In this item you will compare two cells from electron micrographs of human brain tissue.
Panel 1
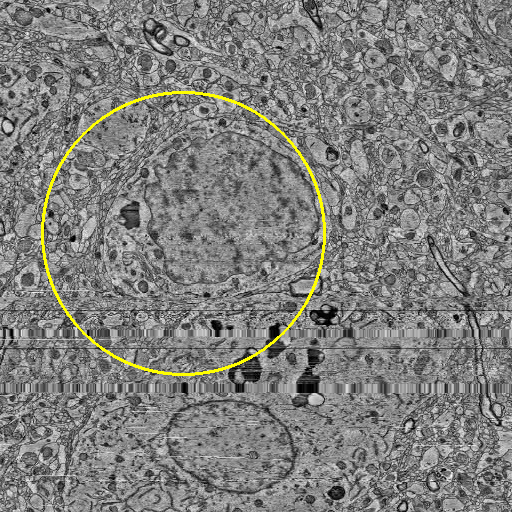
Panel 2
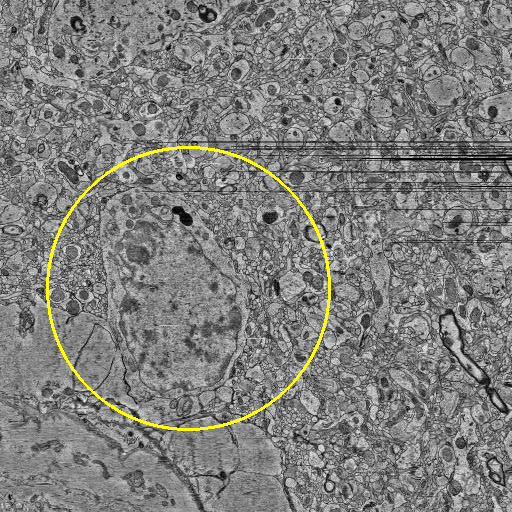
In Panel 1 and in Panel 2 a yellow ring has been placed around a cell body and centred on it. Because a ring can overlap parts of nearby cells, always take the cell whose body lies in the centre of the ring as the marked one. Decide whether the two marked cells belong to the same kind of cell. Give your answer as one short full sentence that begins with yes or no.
Yes, the two marked cells belong to the same kind of cell.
